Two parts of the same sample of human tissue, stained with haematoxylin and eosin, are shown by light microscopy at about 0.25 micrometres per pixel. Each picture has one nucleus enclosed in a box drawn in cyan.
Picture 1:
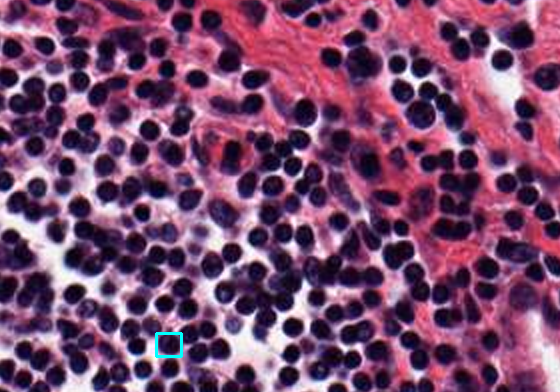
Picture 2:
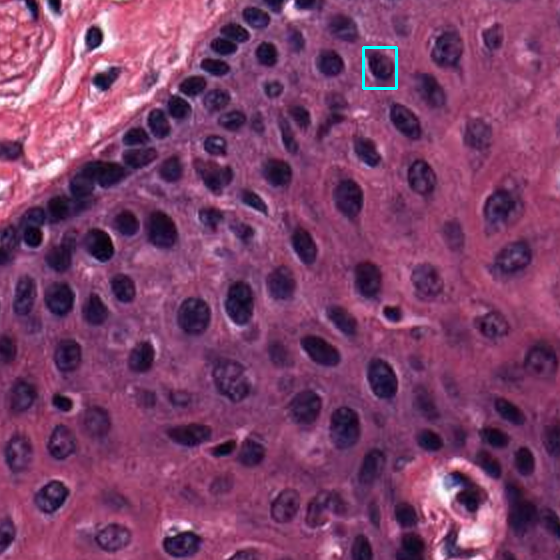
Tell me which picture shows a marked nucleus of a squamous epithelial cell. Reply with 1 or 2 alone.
2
